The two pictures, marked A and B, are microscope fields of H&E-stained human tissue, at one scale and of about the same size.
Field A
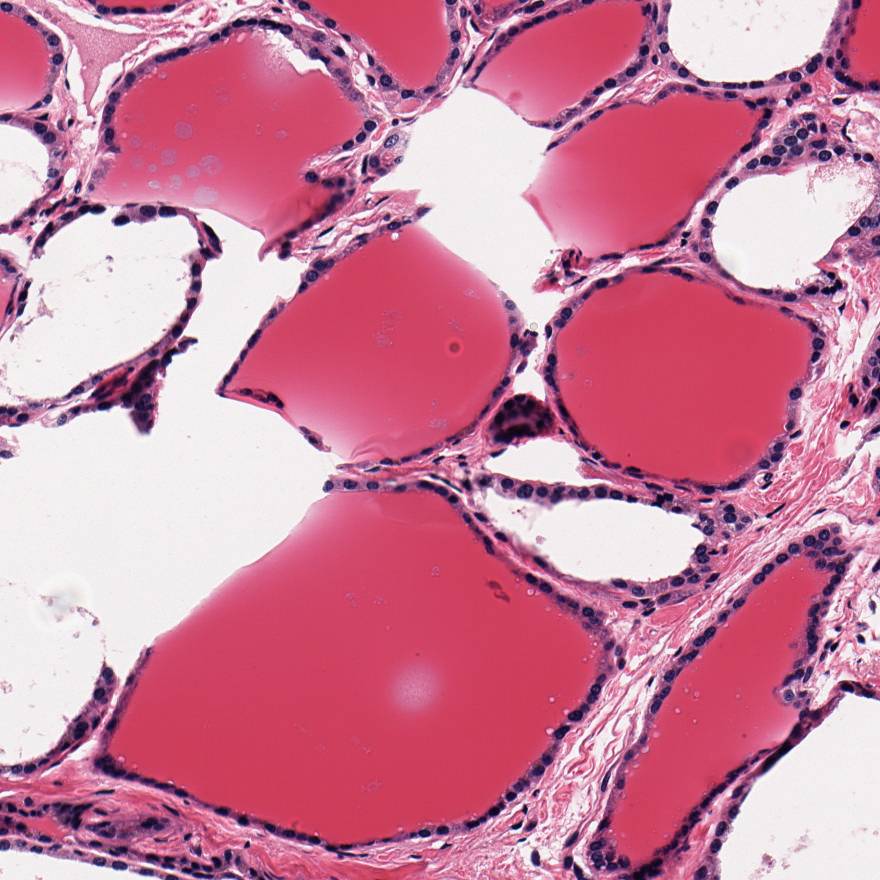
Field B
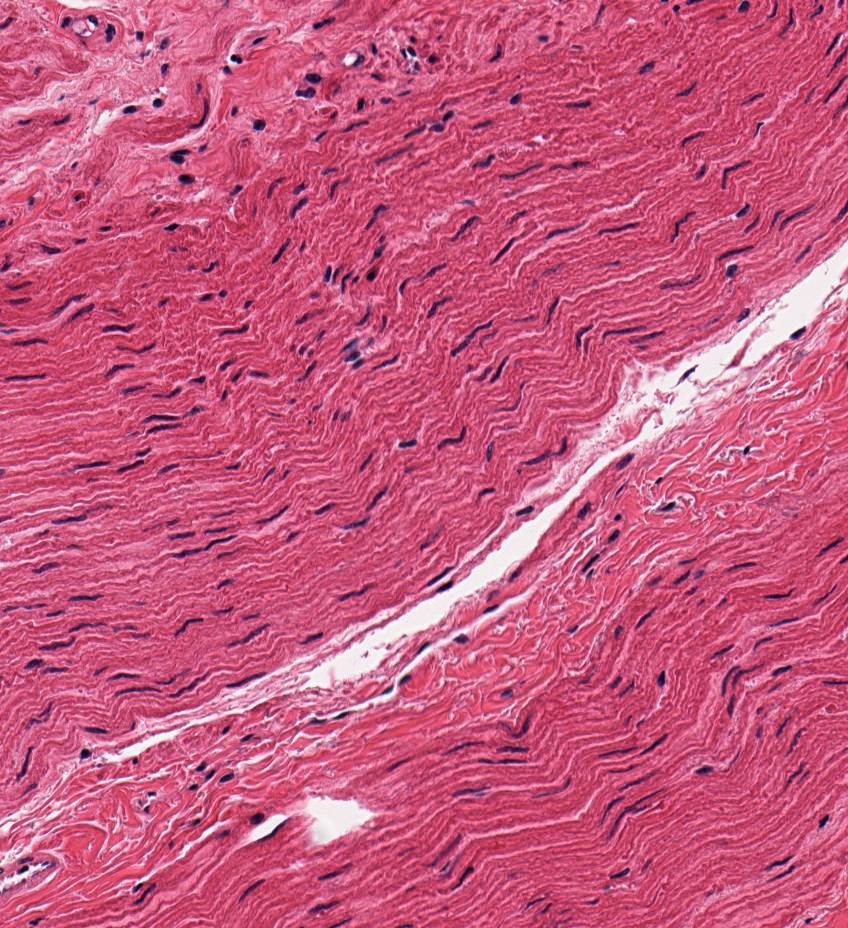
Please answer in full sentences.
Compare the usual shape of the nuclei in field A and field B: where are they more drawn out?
Longer, more slender nuclei lie in field B.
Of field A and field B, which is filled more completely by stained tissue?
Field B has less white space.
